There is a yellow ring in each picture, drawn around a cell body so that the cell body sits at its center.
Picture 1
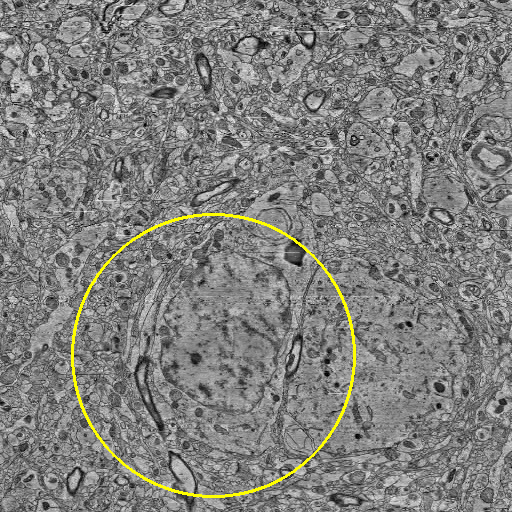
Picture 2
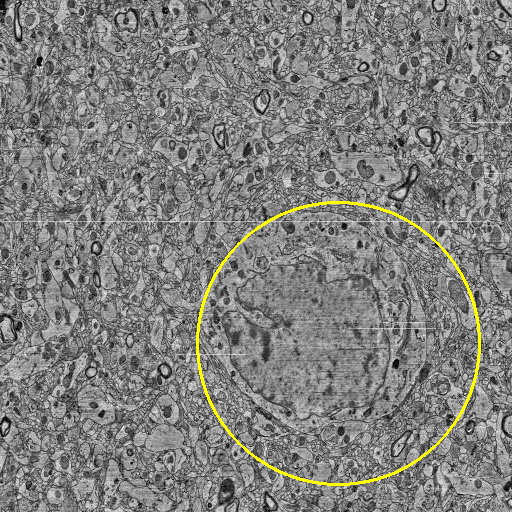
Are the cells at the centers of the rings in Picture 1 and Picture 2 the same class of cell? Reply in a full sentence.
Yes, the two cells are the same class of cell.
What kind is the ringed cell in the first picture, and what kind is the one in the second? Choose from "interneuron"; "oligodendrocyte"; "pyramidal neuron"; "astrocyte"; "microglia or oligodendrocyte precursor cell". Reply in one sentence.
Each of the two pictures has an interneuron at the ring centre.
